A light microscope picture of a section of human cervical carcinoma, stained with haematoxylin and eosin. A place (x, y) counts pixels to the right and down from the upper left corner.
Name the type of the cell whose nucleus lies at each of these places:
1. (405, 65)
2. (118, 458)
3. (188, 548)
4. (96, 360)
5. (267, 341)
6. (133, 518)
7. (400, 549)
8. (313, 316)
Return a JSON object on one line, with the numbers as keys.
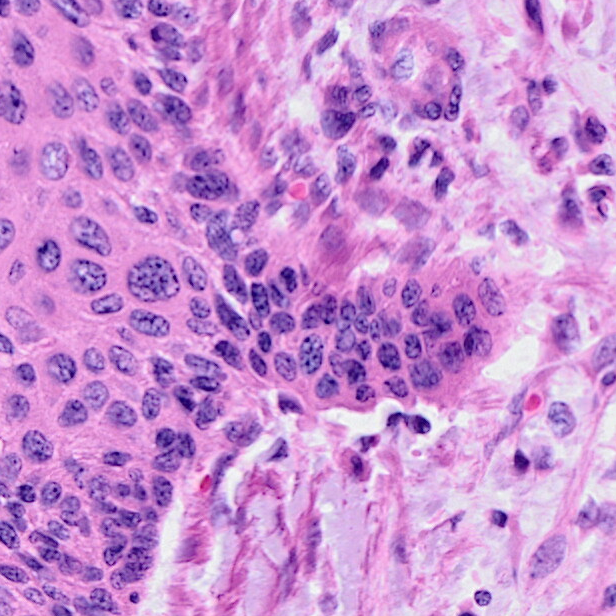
{"1": "endothelial cell", "2": "squamous carcinoma cell", "3": "fibroblast", "4": "squamous carcinoma cell", "5": "squamous carcinoma cell", "6": "squamous carcinoma cell", "7": "fibroblast", "8": "squamous carcinoma cell"}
